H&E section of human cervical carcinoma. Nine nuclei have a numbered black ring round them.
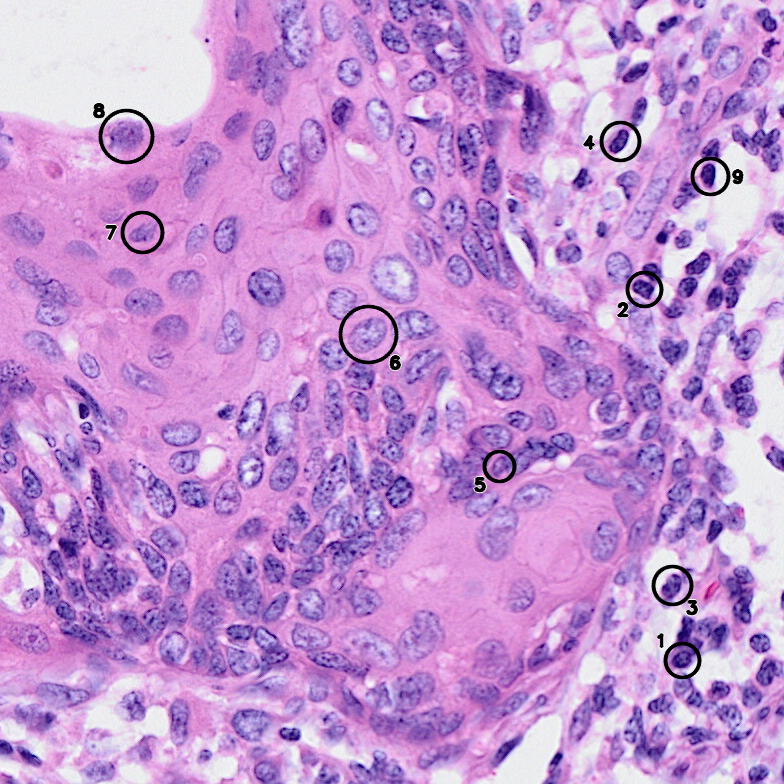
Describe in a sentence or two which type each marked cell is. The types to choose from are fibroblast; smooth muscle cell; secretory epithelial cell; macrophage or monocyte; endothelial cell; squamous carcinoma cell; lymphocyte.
Cells 1, 2, 3, 4 and 9 are lymphocytes. Cells 5, 6, 7 and 8 are squamous carcinoma cells.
